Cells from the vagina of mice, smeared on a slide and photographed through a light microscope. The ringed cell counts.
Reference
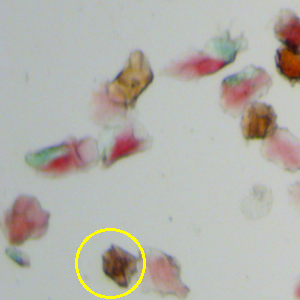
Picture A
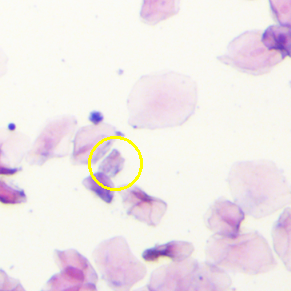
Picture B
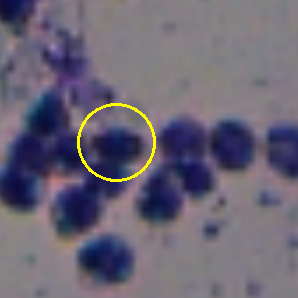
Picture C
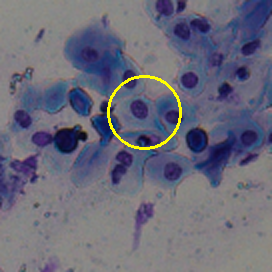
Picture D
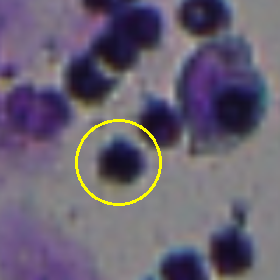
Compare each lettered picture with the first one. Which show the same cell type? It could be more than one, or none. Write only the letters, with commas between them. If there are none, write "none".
A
